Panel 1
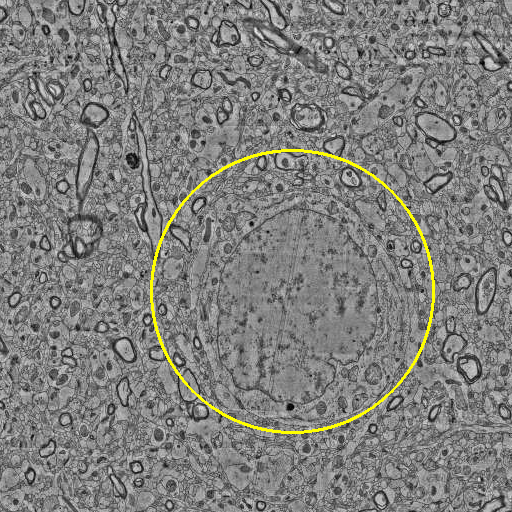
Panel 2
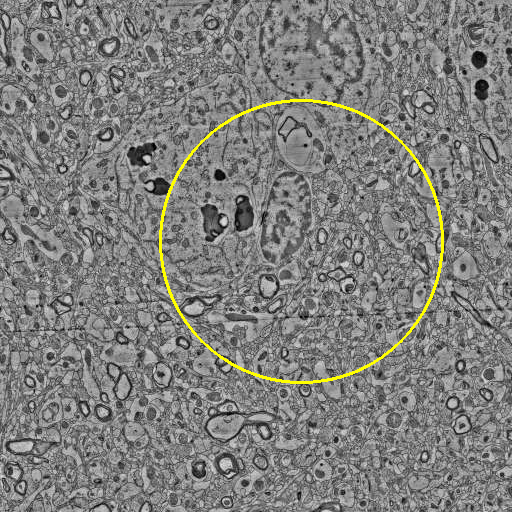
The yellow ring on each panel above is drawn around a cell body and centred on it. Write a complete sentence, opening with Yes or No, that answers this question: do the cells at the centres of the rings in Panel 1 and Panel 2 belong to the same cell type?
No, the two cells belong to two cell types.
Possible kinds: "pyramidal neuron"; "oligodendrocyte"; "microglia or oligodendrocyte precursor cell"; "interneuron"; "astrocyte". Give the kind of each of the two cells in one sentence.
The cell in the second picture is a microglial cell or oligodendrocyte precursor cell, and that in the first is a pyramidal neuron.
